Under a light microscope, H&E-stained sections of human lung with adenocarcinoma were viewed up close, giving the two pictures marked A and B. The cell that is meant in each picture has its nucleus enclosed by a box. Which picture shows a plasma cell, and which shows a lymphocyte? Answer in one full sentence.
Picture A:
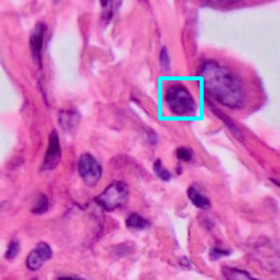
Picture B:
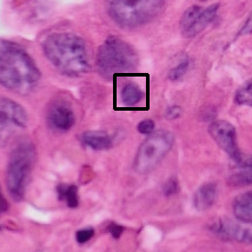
Picture B shows a lymphocyte, while picture A shows a plasma cell.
